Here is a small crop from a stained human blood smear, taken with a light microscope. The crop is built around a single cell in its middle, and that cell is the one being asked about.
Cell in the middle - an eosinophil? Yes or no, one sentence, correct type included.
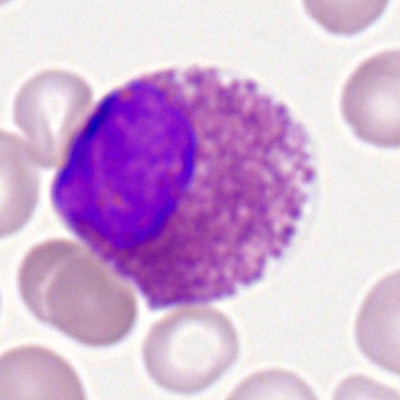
Yes, the cell in the exact middle is an eosinophil.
